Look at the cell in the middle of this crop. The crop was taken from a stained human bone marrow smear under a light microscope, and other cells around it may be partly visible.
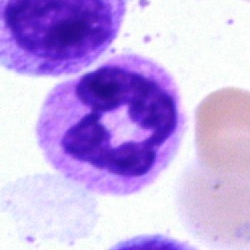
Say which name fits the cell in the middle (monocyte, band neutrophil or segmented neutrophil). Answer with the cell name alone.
segmented neutrophil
